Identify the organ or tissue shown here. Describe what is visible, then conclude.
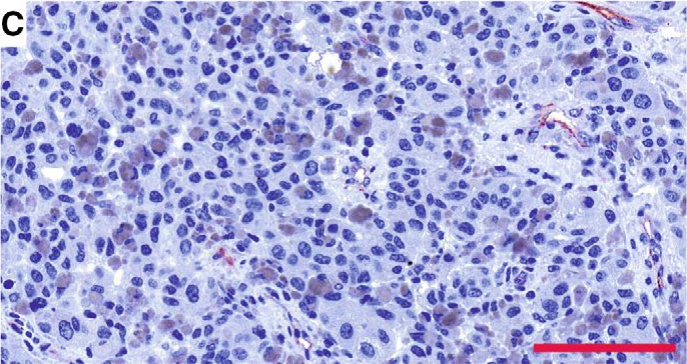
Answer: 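Scattered tumour cells hold brown granular pigment in their cytoplasm. Pleomorphic tumour cells grow in solid sheets without glands or nests. That points to this answer: melanoma.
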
